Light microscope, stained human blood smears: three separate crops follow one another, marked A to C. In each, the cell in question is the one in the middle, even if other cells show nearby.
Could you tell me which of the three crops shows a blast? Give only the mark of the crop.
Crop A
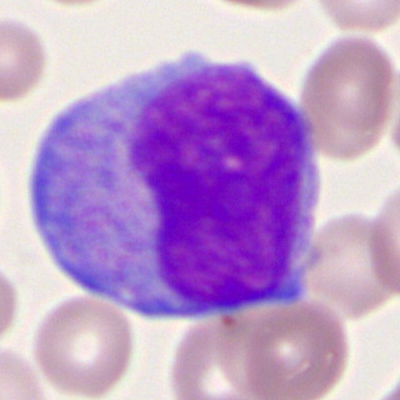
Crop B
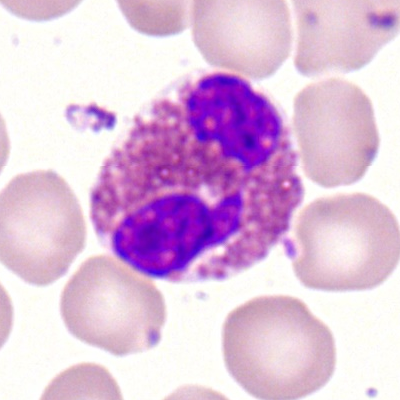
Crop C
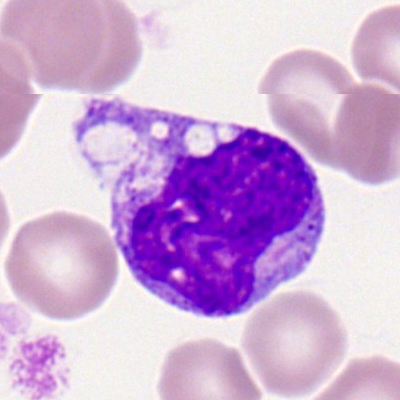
A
